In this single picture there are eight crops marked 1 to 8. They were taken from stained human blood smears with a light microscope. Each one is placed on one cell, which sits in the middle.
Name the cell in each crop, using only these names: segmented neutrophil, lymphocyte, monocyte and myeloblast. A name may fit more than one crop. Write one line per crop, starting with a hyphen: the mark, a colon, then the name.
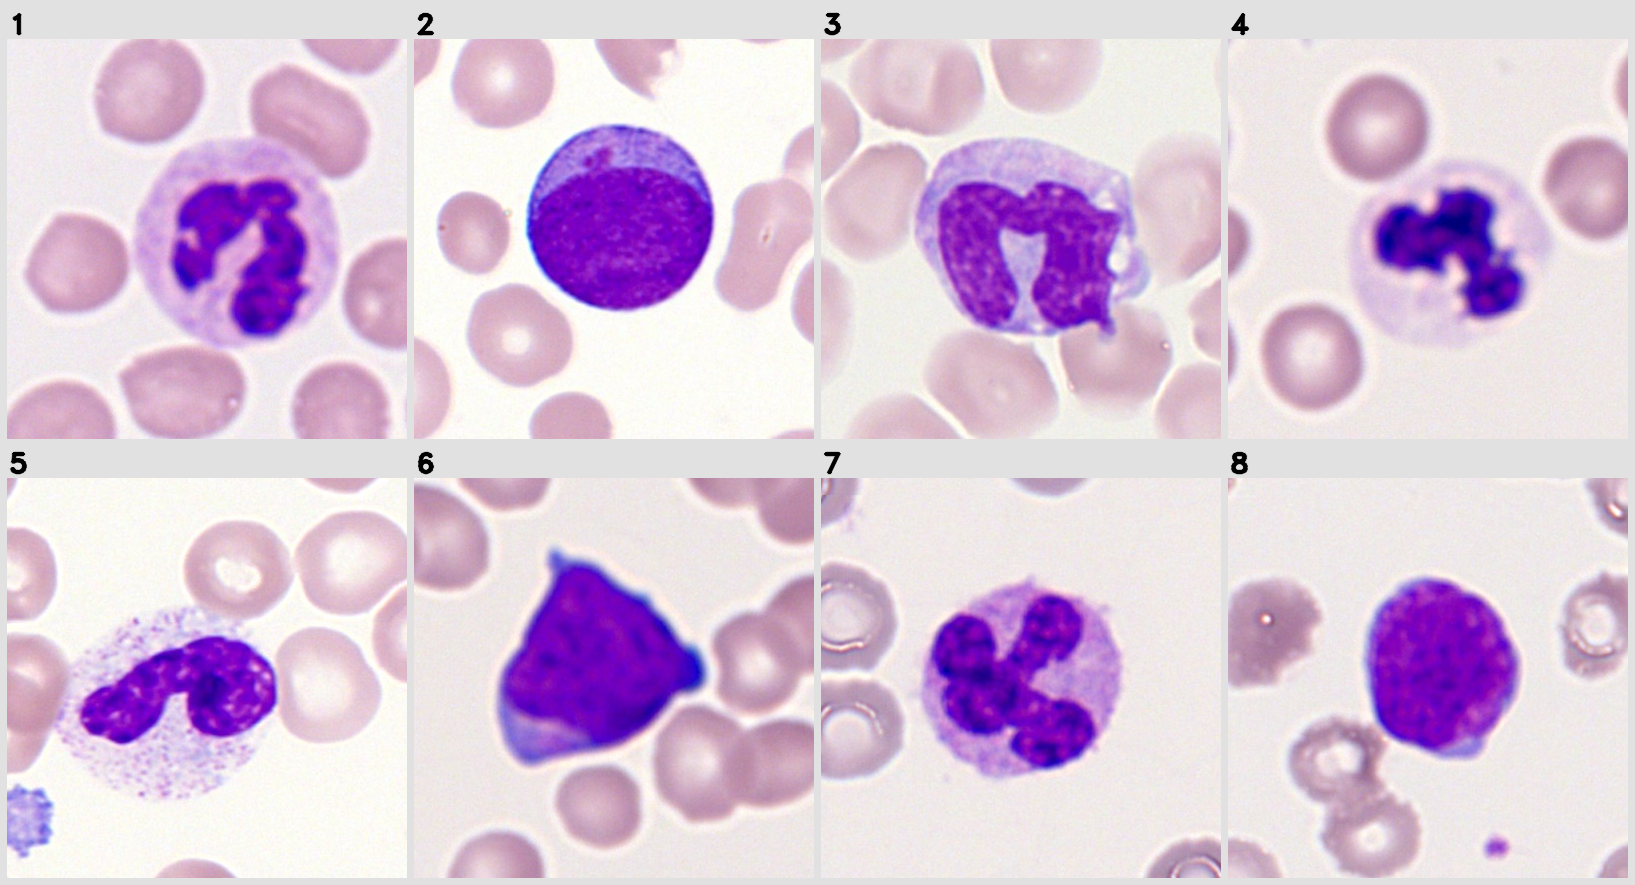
- 1: segmented neutrophil
- 2: myeloblast
- 3: monocyte
- 4: segmented neutrophil
- 5: segmented neutrophil
- 6: myeloblast
- 7: monocyte
- 8: myeloblast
